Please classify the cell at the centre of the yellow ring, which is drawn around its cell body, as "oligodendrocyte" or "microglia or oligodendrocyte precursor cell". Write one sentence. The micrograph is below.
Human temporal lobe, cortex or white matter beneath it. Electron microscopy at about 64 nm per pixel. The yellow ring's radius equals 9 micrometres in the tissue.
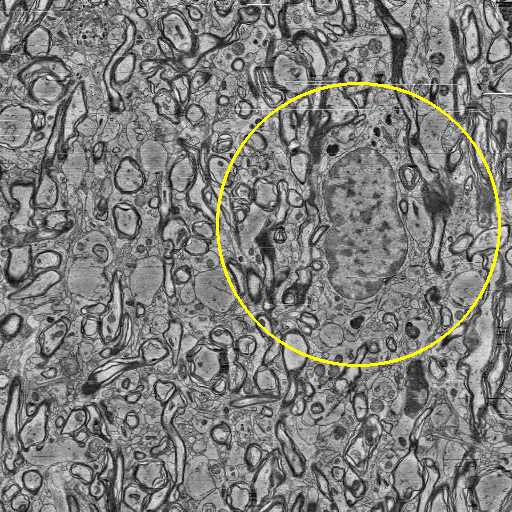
The cell at the ring's centre is classified as a microglial cell or oligodendrocyte precursor cell.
